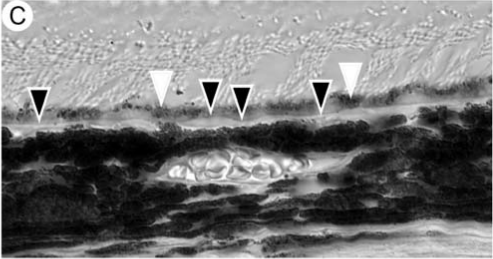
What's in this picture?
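This section shows the pigment epithelium and the choroid in bright field. At the top, photoreceptor segments appear as a pale, grey, striated layer with many small oblique profiles. Beneath them runs a thin pigmented layer whose line is uneven, dotted with dark clumps of pigment granules in single pigment epithelial cells. Below lies a thick choroid crowded with dark pigment. In its middle a vessel holds several pale, closely packed, rounded red blood cells. Further down the pigmented tissue is layered and streaked, with elongated dark profiles.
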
